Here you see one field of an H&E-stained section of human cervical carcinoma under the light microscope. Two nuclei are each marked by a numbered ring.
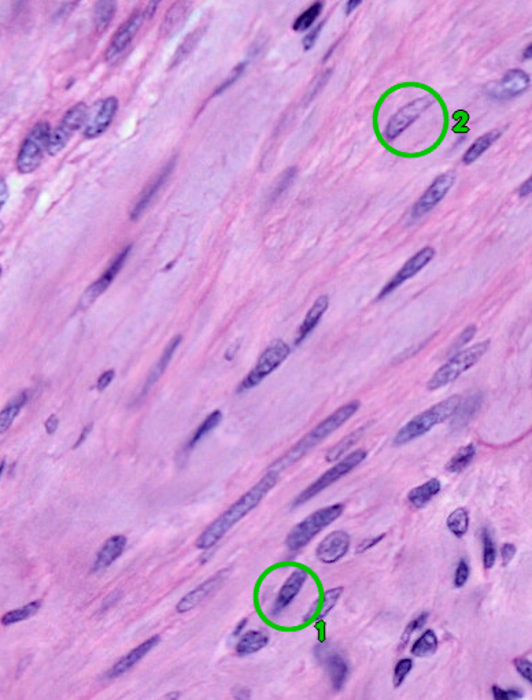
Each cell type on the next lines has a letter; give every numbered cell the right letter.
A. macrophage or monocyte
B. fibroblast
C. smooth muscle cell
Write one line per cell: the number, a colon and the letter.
1: B
2: C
